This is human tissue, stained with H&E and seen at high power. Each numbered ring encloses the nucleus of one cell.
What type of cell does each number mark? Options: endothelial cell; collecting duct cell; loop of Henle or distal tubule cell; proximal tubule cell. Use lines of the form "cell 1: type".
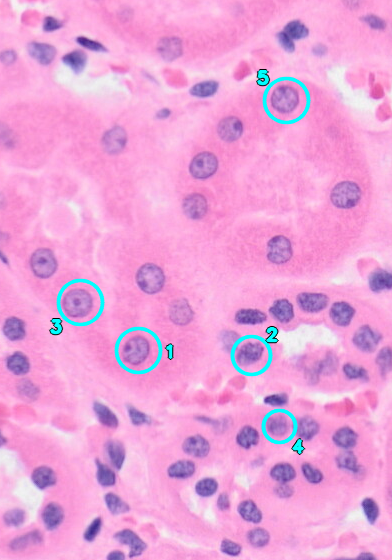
cell 1: proximal tubule cell
cell 2: collecting duct cell
cell 3: proximal tubule cell
cell 4: collecting duct cell
cell 5: proximal tubule cell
